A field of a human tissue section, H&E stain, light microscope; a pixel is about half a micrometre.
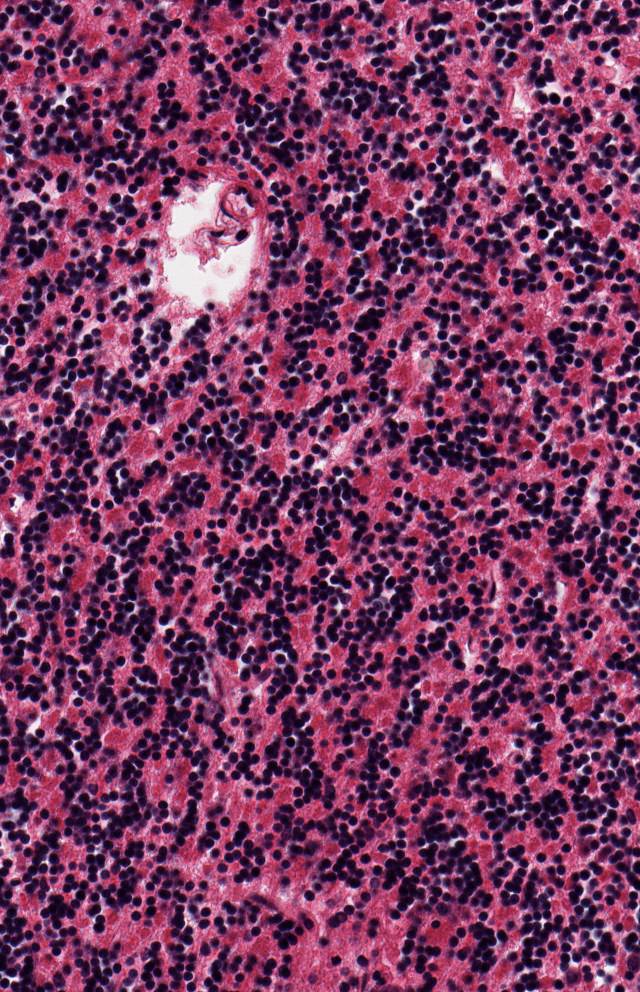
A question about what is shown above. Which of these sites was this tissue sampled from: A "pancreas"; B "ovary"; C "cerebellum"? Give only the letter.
C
